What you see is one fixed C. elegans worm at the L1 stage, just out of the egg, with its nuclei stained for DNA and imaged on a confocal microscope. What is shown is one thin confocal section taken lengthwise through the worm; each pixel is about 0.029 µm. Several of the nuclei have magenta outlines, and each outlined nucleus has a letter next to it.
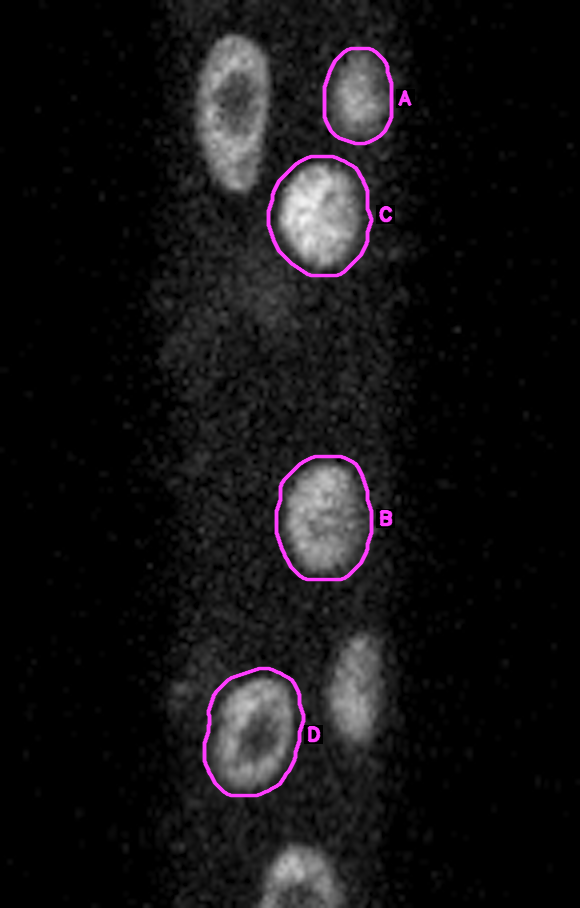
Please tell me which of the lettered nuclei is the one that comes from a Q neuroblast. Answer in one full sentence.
It is C that belongs to a Q neuroblast.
